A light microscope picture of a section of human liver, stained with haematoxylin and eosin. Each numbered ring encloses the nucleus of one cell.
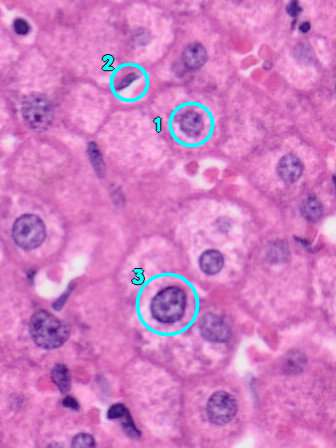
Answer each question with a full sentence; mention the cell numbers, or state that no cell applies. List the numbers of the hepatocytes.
The cells carrying labels 1 and 3 are hepatocytes.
